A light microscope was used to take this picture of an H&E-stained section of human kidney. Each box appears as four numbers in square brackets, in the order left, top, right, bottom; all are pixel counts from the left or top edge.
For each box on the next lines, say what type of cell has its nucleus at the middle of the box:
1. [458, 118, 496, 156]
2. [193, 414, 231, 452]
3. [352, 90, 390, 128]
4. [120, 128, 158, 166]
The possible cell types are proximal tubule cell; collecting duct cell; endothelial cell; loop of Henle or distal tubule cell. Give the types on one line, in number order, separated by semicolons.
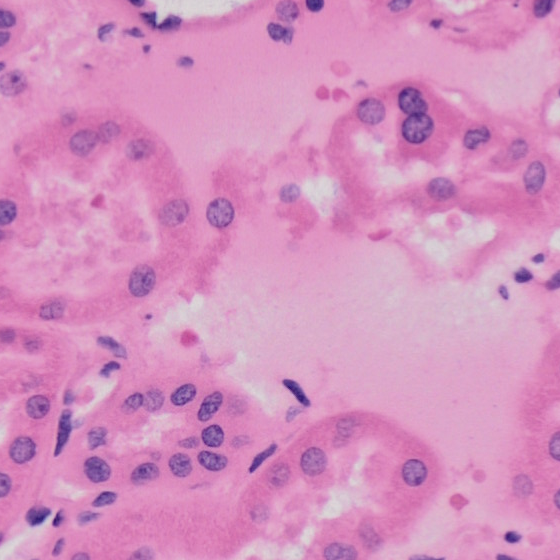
proximal tubule cell; collecting duct cell; proximal tubule cell; proximal tubule cell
